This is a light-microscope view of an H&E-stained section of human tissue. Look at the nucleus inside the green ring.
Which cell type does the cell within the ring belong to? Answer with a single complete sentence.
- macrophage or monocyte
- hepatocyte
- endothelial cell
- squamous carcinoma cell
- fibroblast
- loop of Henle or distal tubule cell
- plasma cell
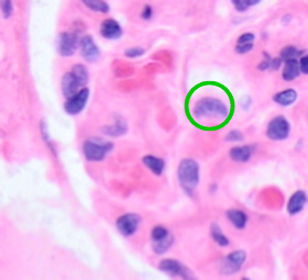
As a matter of cell type, the cell within the ring is an endothelial cell.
